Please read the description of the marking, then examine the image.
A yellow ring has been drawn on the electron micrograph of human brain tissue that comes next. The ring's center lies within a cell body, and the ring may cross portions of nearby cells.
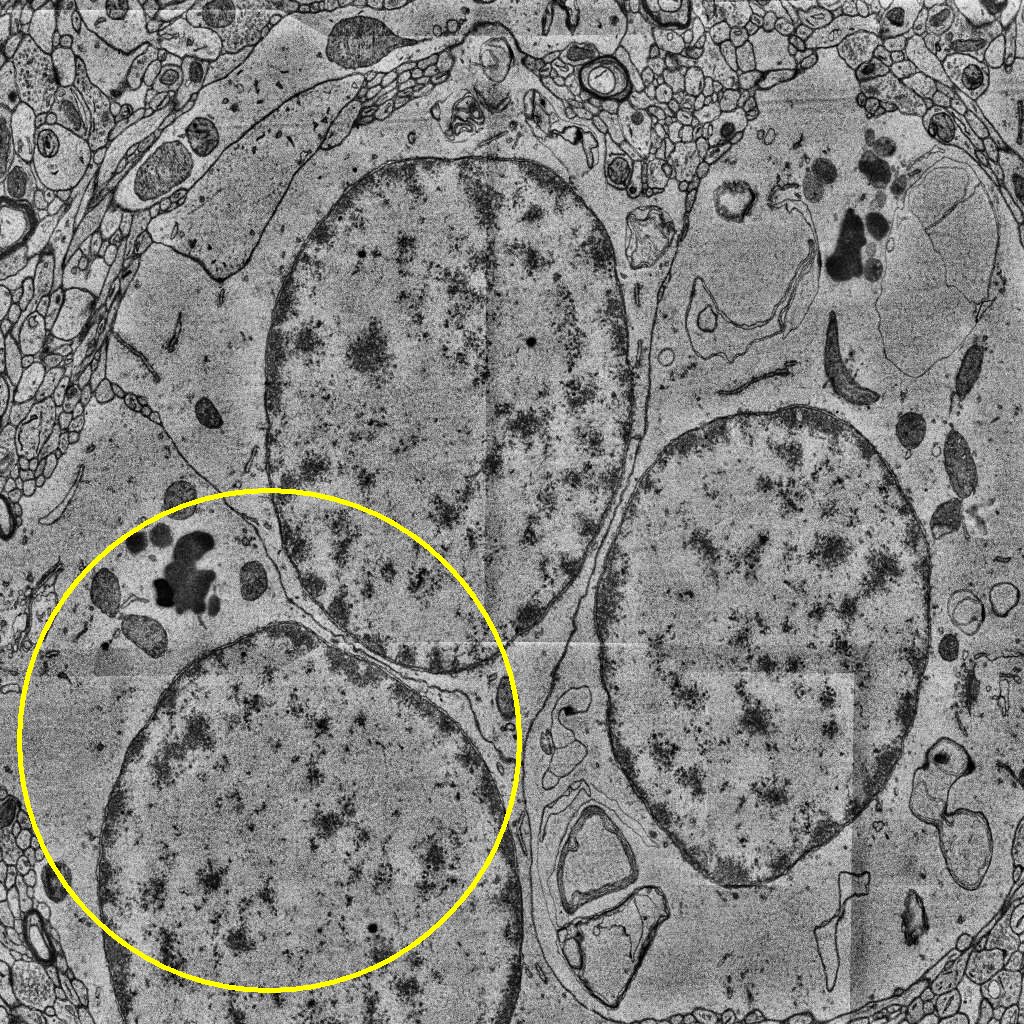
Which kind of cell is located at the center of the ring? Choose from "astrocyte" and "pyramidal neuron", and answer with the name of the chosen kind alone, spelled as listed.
astrocyte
